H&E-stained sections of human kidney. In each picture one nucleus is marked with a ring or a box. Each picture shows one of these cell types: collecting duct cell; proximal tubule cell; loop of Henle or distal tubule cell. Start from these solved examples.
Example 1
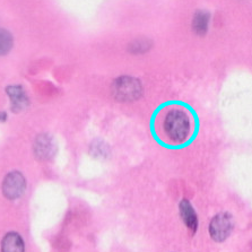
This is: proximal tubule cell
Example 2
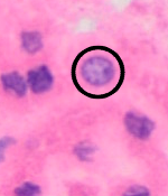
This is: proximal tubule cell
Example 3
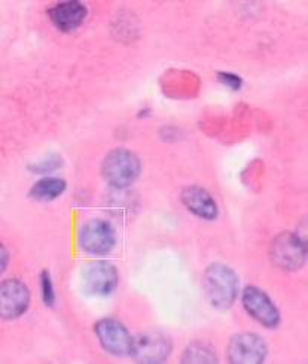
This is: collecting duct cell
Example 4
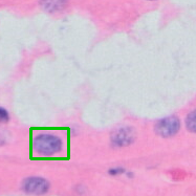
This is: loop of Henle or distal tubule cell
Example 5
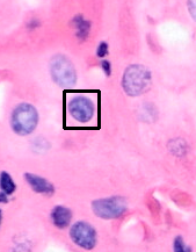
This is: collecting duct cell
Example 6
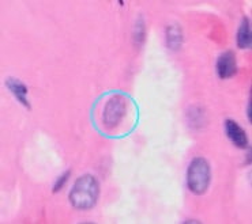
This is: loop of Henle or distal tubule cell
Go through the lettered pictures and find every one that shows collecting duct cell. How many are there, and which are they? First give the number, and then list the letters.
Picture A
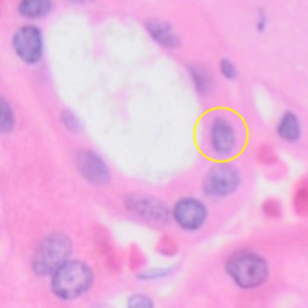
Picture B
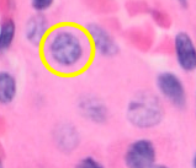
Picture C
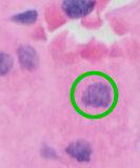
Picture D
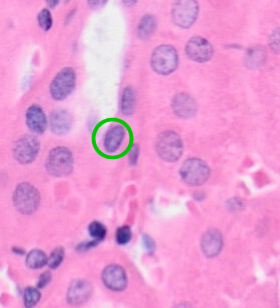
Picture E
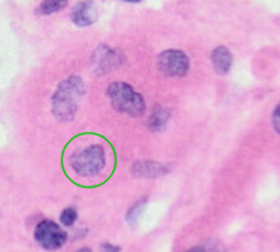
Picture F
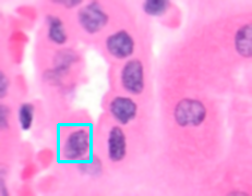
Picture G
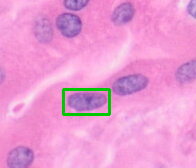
3: A, D, F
